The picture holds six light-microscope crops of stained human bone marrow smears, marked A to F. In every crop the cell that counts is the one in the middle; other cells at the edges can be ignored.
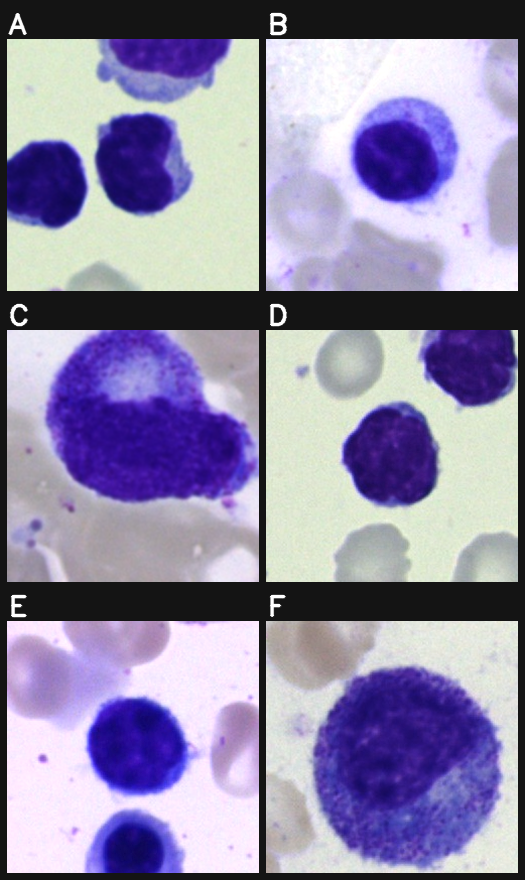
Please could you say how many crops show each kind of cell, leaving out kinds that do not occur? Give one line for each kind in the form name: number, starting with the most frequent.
lymphocyte: 4
promyelocyte: 2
